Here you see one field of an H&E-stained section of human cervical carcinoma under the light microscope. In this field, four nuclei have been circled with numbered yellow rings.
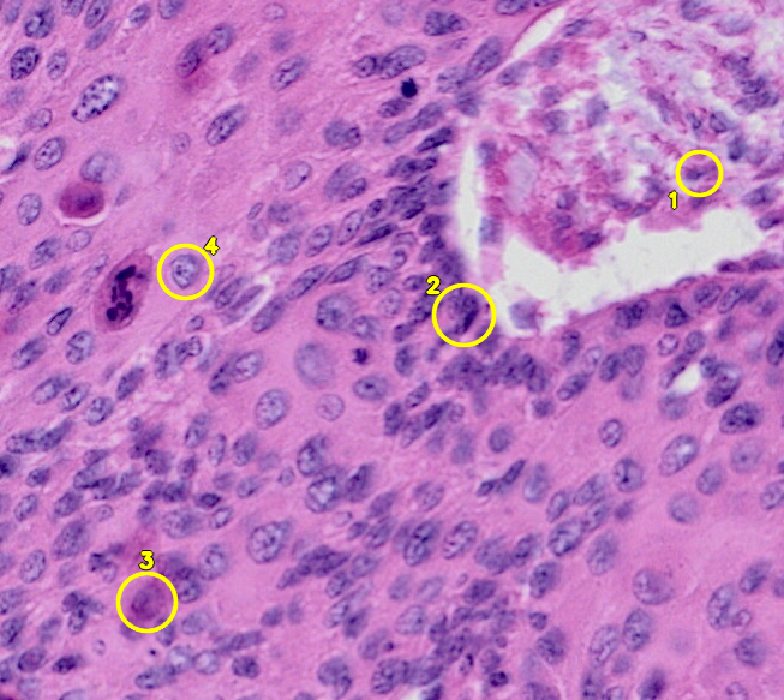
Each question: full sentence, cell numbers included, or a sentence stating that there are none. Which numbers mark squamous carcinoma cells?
Cells 2, 3 and 4 in the section are typed as squamous carcinoma cells.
